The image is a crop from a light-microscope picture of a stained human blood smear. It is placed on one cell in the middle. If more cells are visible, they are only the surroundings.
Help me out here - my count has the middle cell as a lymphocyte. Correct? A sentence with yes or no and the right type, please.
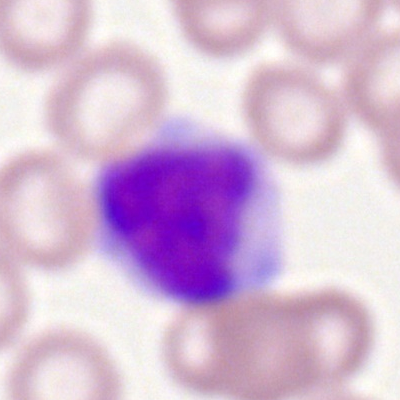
Yes, a lymphocyte is what the central cell is.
